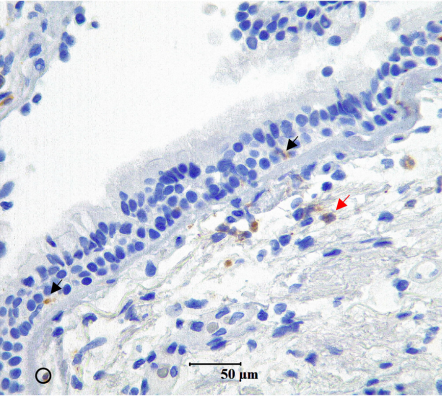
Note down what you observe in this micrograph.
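This is airway mucosa: a lining epithelium of crowded, elongated blue nuclei stacked in several rows with a pale fringed surface toward the lumen, resting on a thin pale band, below which lies loose, wispy connective tissue of the lamina propria with scattered nuclei. Brown-stained cells are dotted here and there, a few within the epithelium and some in the loose connective tissue beneath it.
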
